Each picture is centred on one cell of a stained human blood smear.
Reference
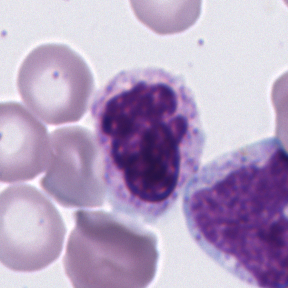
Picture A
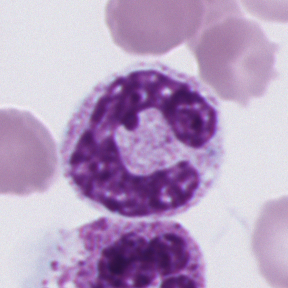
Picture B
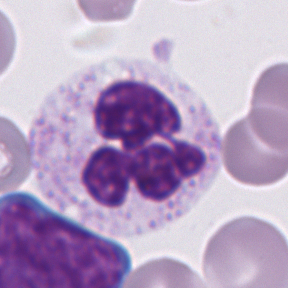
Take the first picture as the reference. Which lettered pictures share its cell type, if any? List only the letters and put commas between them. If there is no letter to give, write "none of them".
A, B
